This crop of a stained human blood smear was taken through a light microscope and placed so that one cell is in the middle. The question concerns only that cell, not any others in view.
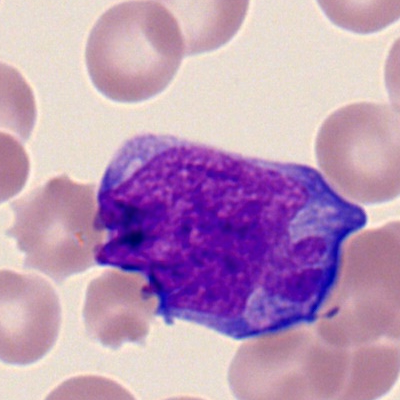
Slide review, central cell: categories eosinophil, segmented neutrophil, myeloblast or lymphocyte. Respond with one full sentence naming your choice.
The cell of interest, in the center, is a myeloblast.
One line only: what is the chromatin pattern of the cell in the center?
The chromatin pattern here is coarse and clumped.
